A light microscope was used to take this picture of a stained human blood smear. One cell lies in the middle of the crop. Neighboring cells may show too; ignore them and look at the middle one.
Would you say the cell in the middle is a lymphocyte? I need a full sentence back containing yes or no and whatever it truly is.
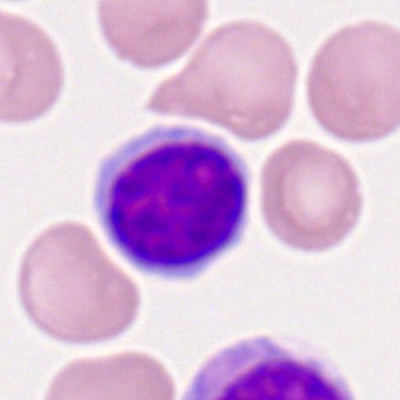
Yes, that is a lymphocyte in the middle of the crop.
